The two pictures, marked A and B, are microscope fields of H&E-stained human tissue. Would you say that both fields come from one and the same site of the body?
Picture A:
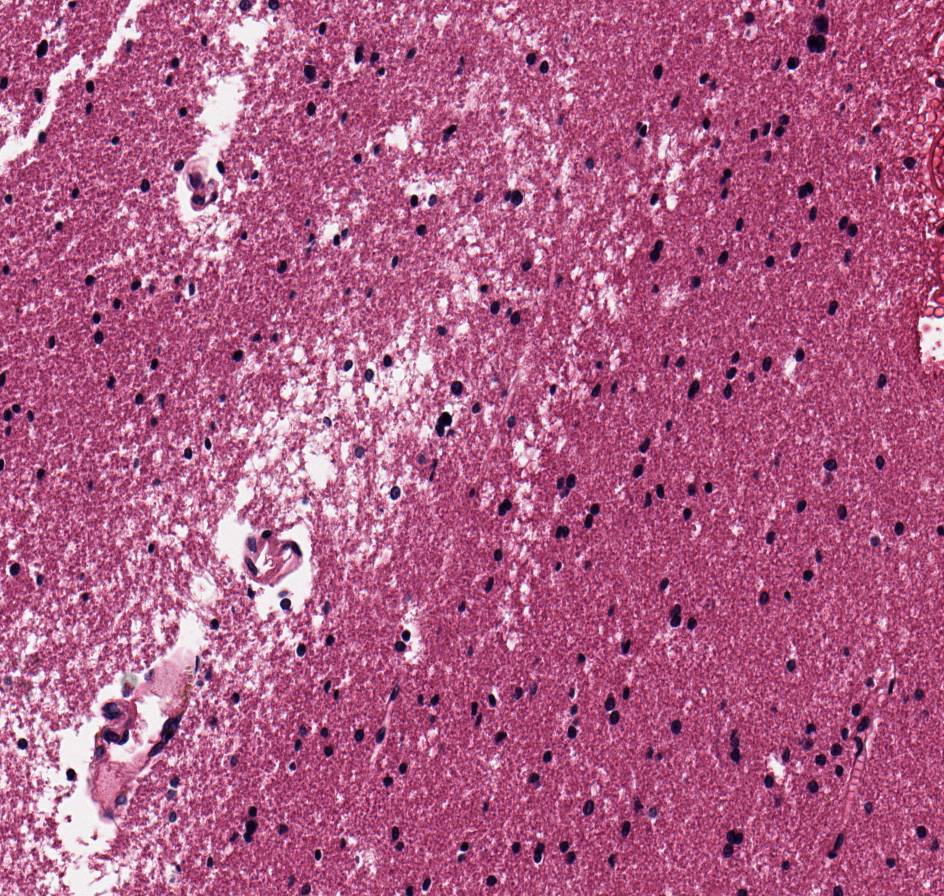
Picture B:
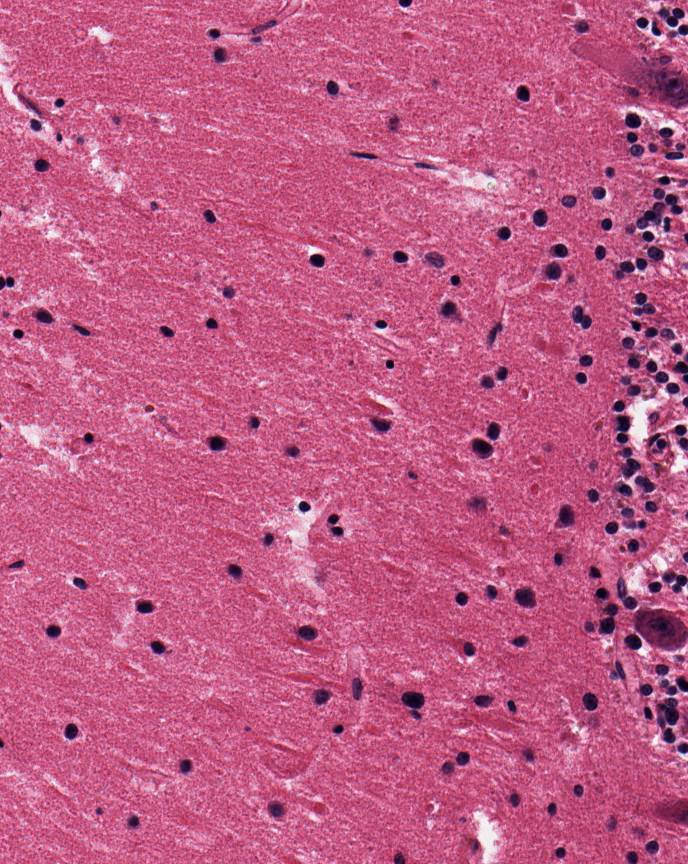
no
